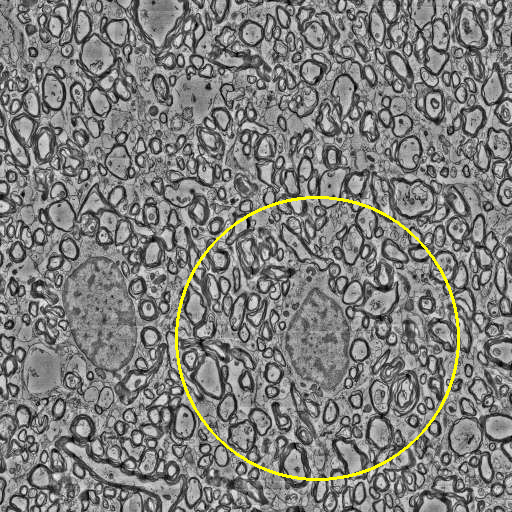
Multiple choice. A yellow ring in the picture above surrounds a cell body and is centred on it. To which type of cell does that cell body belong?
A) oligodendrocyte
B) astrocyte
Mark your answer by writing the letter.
A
